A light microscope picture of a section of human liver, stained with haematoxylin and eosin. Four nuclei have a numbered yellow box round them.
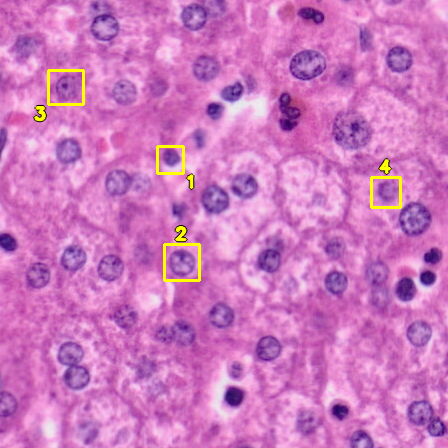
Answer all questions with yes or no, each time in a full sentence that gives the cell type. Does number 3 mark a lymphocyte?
No, the one with number 3 is a hepatocyte, not a lymphocyte.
